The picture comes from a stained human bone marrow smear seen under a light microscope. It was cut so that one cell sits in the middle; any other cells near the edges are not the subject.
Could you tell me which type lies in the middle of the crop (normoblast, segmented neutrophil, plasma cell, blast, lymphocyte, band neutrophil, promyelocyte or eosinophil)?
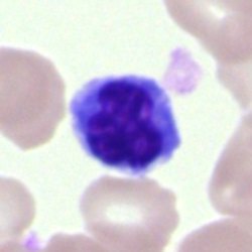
normoblast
